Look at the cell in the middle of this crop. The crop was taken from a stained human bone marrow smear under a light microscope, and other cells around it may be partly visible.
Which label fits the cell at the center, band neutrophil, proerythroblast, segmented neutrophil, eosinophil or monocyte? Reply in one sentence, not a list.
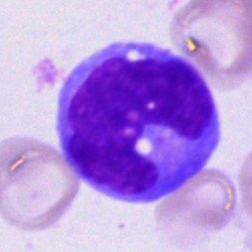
For this crop, the central cell is a monocyte.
